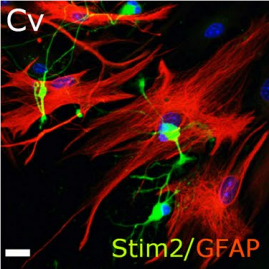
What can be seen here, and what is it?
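Lying on and between them are a few much smaller green cells with compact, rounded bodies and thin, sparsely branched processes. The green and red cells are distinct from each other; the green ones do not share the broad fibrous shape of the red ones. Several blue nuclei are scattered across the field.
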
